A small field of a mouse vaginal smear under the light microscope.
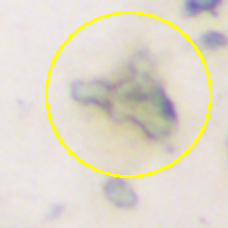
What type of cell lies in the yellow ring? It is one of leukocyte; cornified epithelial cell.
The ringed cell is a cornified epithelial cell.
